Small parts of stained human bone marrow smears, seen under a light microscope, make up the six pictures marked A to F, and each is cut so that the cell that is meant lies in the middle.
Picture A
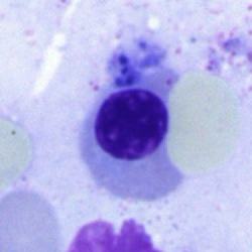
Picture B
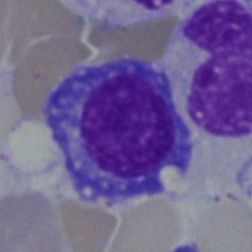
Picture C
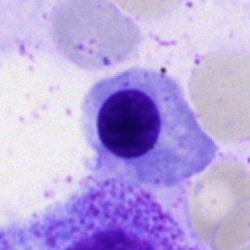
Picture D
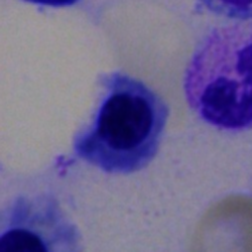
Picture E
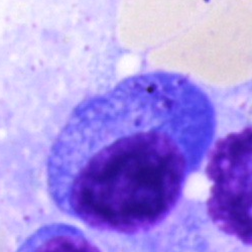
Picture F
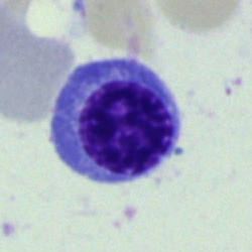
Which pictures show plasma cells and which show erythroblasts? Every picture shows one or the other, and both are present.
A: erythroblast
B: plasma cell
C: erythroblast
D: erythroblast
E: plasma cell
F: erythroblast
